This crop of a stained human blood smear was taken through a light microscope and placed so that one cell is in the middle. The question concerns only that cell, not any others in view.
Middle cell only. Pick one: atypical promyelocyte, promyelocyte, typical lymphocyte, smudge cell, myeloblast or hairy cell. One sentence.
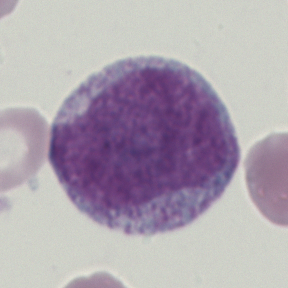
The central cell shown in this smear crop is a promyelocyte.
